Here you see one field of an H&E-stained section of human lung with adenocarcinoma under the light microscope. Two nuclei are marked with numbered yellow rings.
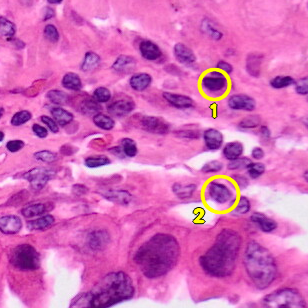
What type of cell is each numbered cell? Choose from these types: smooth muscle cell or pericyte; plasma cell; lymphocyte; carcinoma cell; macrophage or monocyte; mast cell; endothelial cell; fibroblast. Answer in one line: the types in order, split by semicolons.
plasma cell; lymphocyte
